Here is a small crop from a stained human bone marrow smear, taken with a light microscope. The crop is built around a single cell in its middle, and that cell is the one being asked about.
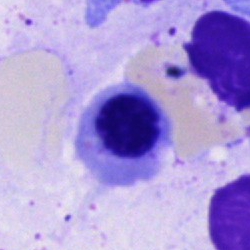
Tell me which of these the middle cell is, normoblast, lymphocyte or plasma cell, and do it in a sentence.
The cell marked by its central position in the crop is a normoblast.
